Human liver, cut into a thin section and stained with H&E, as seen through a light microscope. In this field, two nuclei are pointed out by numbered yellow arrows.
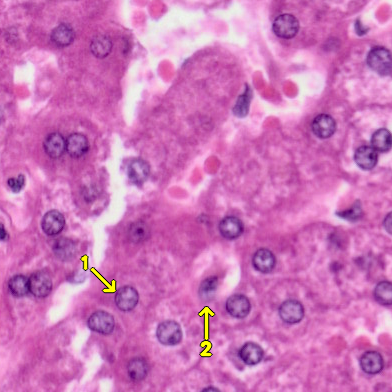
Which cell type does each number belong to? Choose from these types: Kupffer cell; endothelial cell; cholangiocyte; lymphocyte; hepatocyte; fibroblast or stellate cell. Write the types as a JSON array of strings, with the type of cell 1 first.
["hepatocyte", "Kupffer cell"]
